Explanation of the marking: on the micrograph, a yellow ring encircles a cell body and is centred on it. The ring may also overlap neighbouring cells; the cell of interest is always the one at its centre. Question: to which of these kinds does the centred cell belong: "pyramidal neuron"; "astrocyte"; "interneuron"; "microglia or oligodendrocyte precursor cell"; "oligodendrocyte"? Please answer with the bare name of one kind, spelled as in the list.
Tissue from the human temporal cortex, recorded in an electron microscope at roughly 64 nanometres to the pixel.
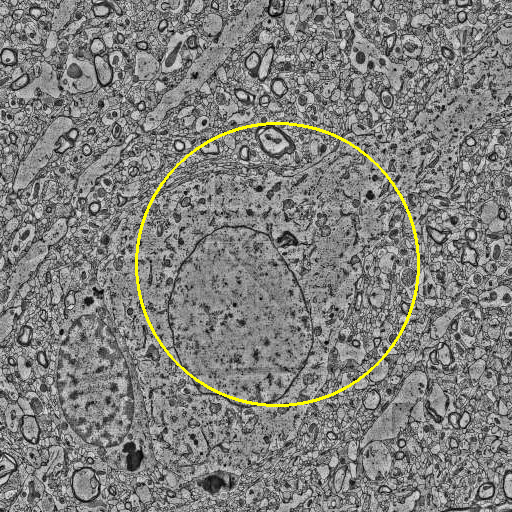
pyramidal neuron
